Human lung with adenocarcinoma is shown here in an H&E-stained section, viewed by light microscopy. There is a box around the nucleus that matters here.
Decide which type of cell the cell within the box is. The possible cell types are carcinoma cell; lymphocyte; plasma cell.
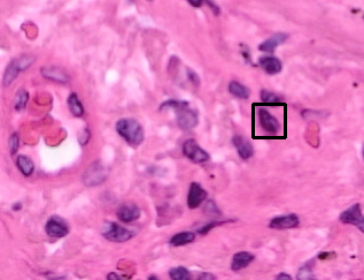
plasma cell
